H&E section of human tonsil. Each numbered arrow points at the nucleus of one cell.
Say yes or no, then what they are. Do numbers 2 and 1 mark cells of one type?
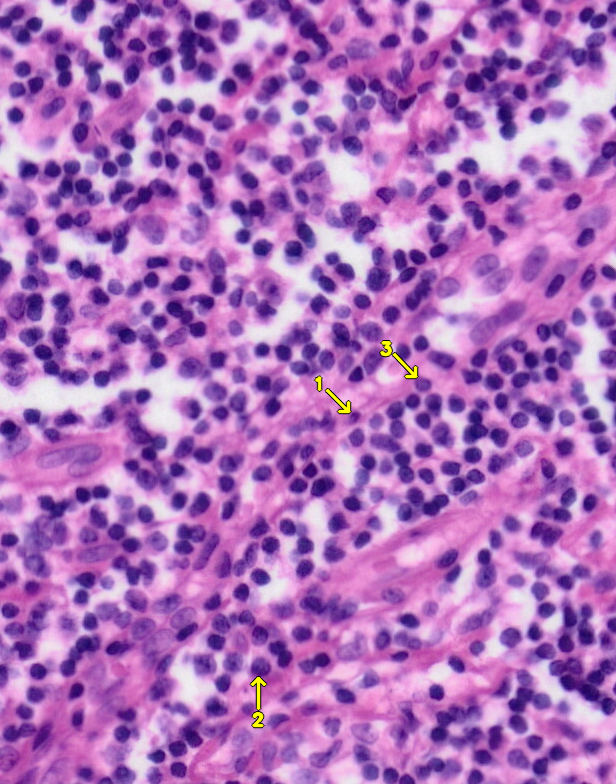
No, cell 2 is a plasma cell and cell 1 is an endothelial cell.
